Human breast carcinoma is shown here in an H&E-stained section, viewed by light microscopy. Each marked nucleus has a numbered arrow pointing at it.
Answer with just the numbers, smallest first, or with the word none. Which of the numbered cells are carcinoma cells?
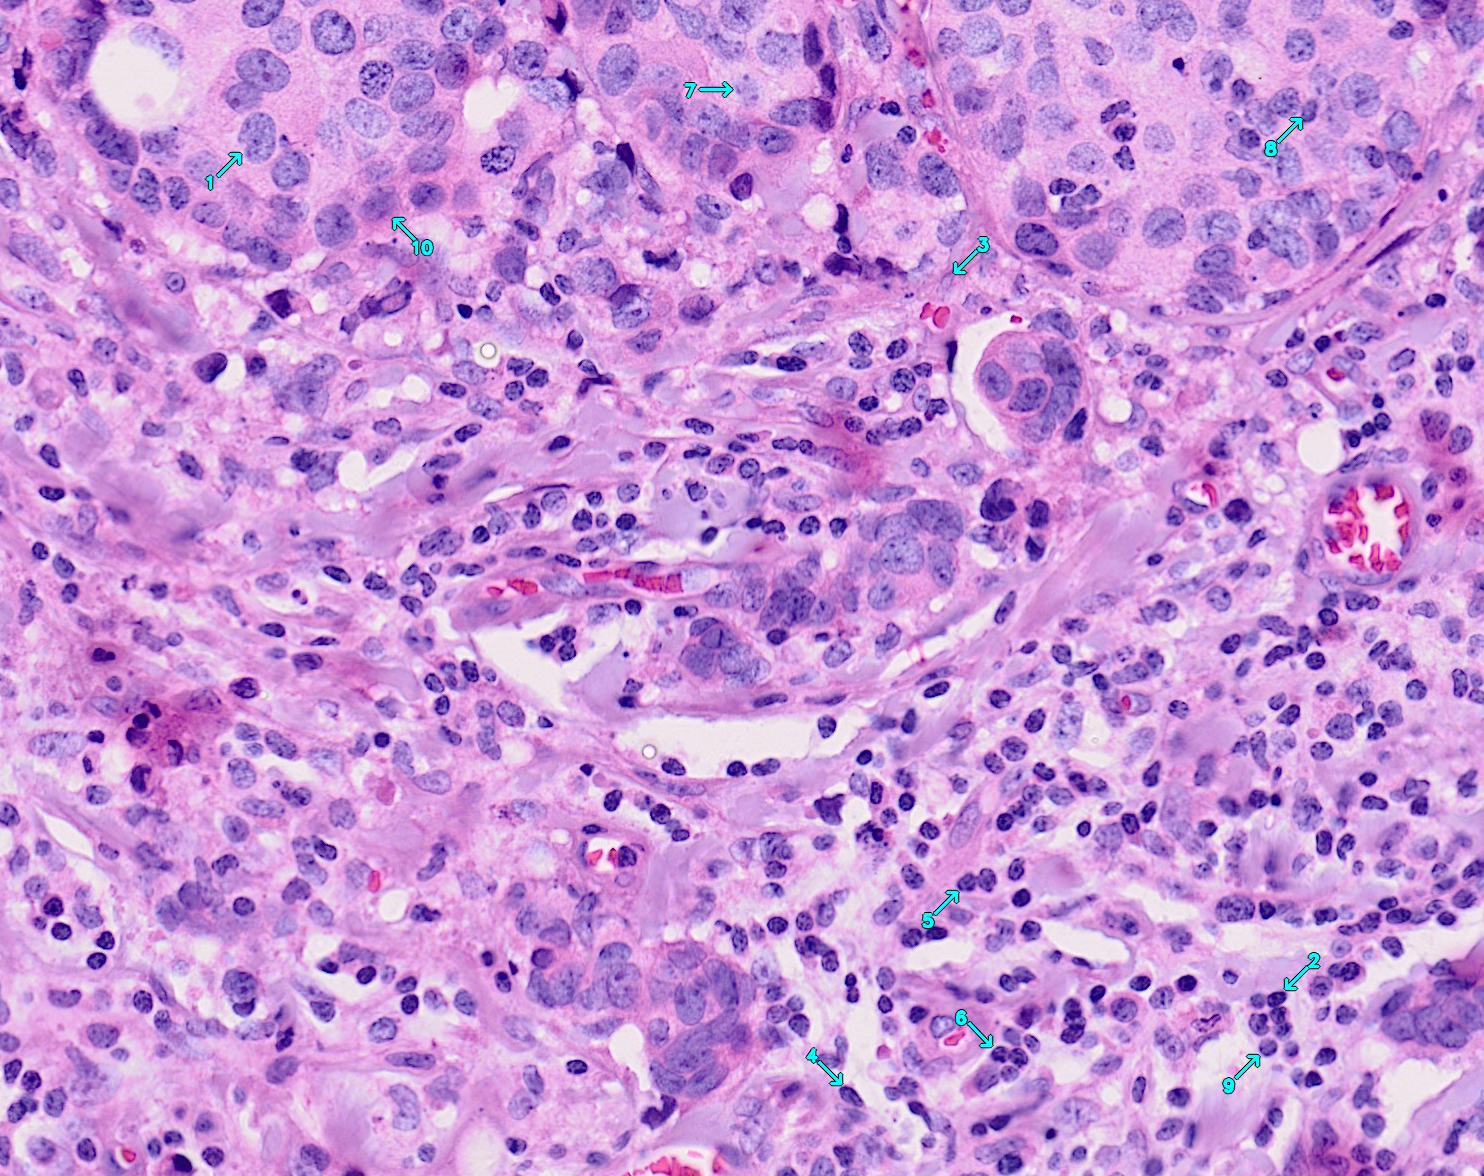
1, 7, 10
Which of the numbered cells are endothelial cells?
3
